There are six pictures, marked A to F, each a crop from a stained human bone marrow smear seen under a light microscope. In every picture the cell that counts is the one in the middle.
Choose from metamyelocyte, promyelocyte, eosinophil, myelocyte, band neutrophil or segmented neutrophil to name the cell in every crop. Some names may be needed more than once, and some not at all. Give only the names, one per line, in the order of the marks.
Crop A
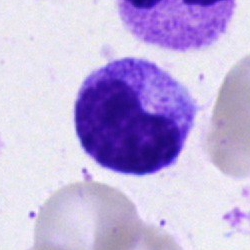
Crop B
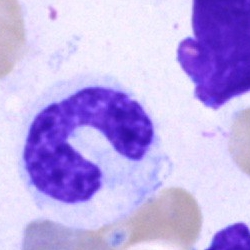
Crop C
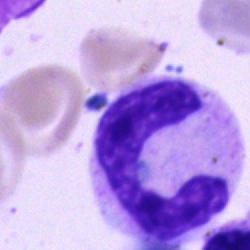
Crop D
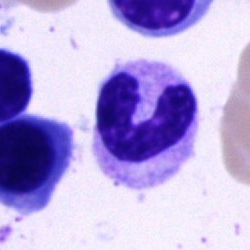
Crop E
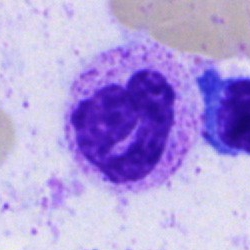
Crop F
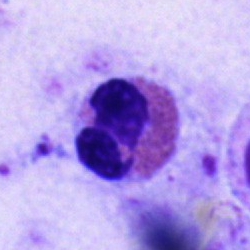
metamyelocyte
band neutrophil
band neutrophil
band neutrophil
segmented neutrophil
eosinophil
